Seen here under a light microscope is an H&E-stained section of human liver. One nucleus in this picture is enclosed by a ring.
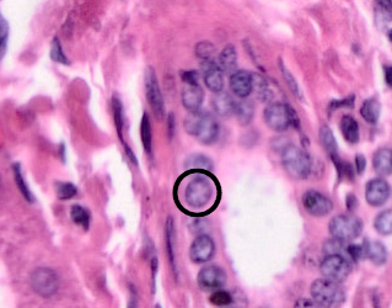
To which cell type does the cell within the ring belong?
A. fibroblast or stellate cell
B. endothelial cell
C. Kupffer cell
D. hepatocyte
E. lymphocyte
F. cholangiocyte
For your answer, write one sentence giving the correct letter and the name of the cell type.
Option F is the one that fits, as the cell within the ring is a cholangiocyte.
